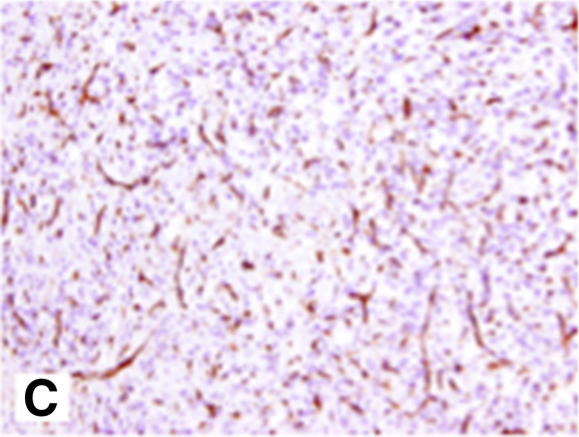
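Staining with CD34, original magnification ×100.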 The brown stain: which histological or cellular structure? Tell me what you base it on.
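Brown stain outlines thin, elongated, branching tubular profiles. That points to this answer: branching capillary pattern.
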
